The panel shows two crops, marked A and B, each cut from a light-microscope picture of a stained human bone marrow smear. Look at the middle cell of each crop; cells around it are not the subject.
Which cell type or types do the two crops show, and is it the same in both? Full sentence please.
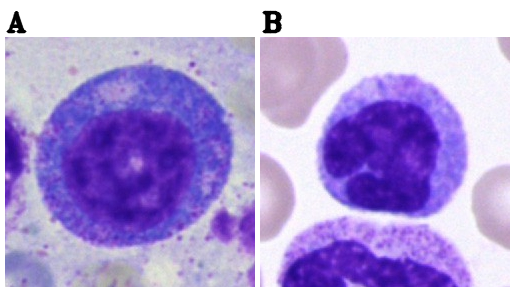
No, crop A carries a promyelocyte at its centre, and crop B carries a monocyte.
